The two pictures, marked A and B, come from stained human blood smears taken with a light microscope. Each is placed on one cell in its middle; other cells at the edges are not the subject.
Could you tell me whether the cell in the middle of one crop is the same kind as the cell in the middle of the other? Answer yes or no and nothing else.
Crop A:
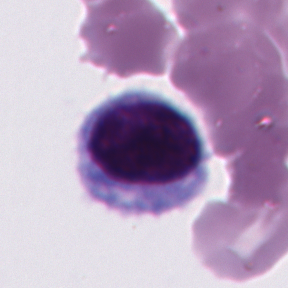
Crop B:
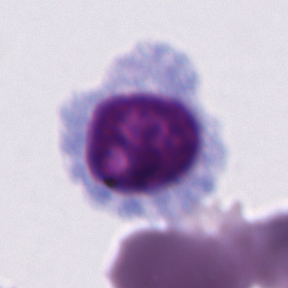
yes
